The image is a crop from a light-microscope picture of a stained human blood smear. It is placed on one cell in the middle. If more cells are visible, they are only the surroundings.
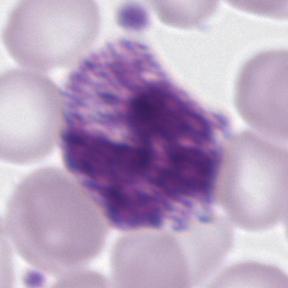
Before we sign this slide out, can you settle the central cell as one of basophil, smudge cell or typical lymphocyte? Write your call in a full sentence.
The middle of this crop is occupied by a basophil.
